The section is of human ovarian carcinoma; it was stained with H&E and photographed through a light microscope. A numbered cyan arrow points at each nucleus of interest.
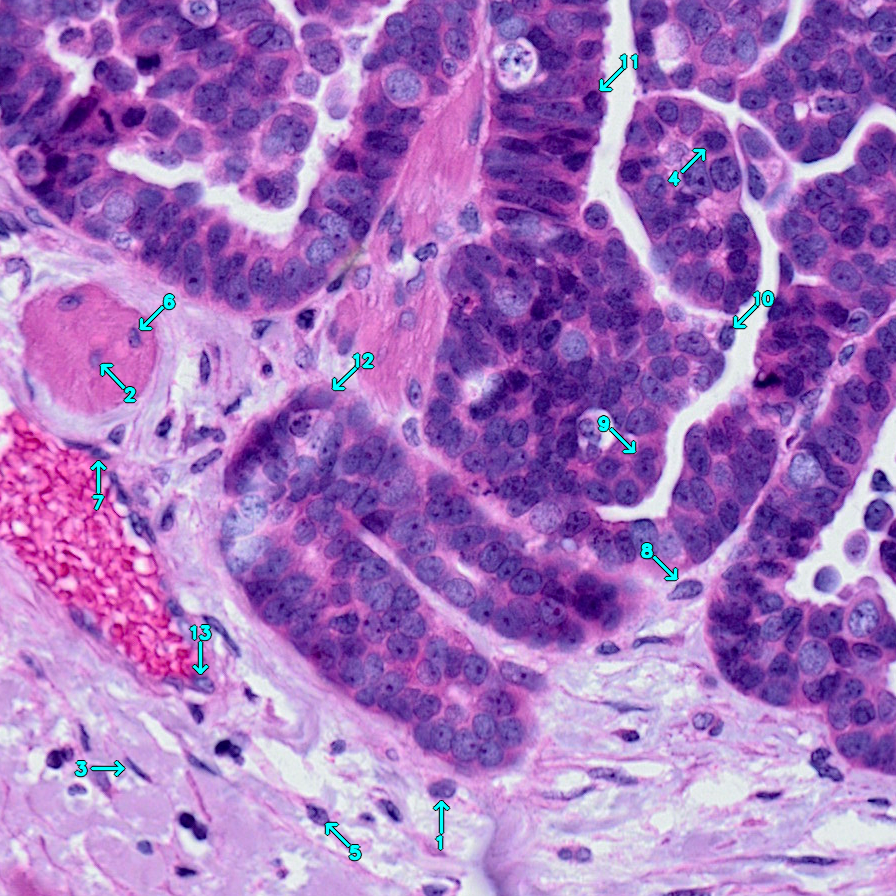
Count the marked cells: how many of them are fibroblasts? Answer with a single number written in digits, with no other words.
1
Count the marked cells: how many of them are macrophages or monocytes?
4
